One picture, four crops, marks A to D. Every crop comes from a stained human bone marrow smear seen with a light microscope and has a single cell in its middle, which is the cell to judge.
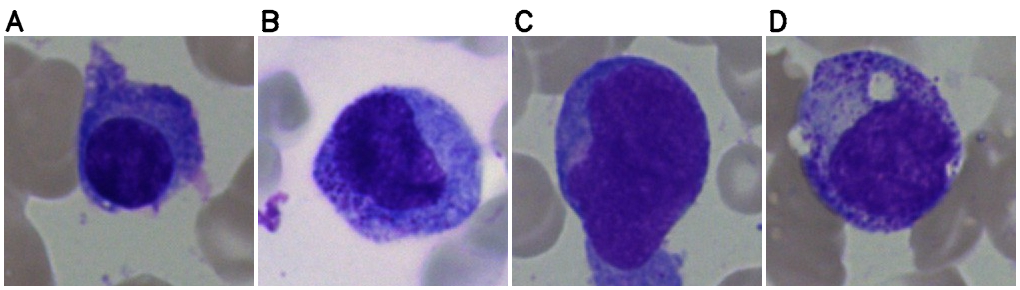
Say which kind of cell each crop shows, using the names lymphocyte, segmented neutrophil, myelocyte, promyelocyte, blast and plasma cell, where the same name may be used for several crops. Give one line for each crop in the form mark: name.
A: plasma cell
B: promyelocyte
C: blast
D: myelocyte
